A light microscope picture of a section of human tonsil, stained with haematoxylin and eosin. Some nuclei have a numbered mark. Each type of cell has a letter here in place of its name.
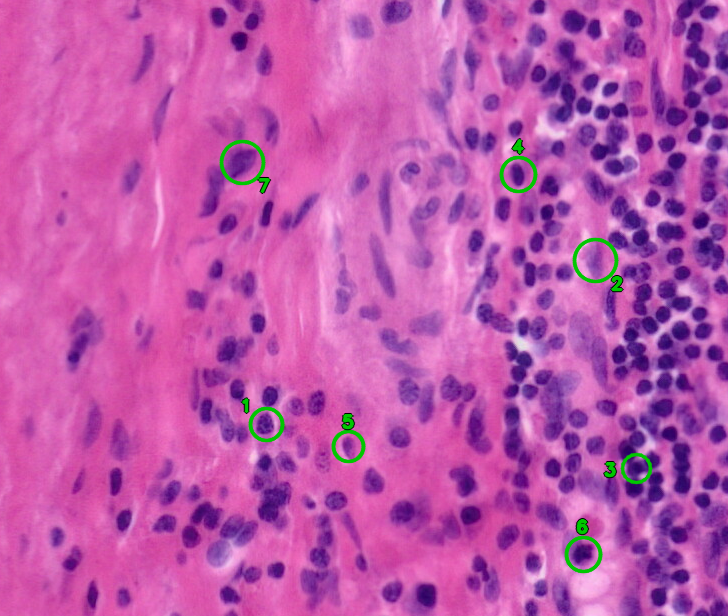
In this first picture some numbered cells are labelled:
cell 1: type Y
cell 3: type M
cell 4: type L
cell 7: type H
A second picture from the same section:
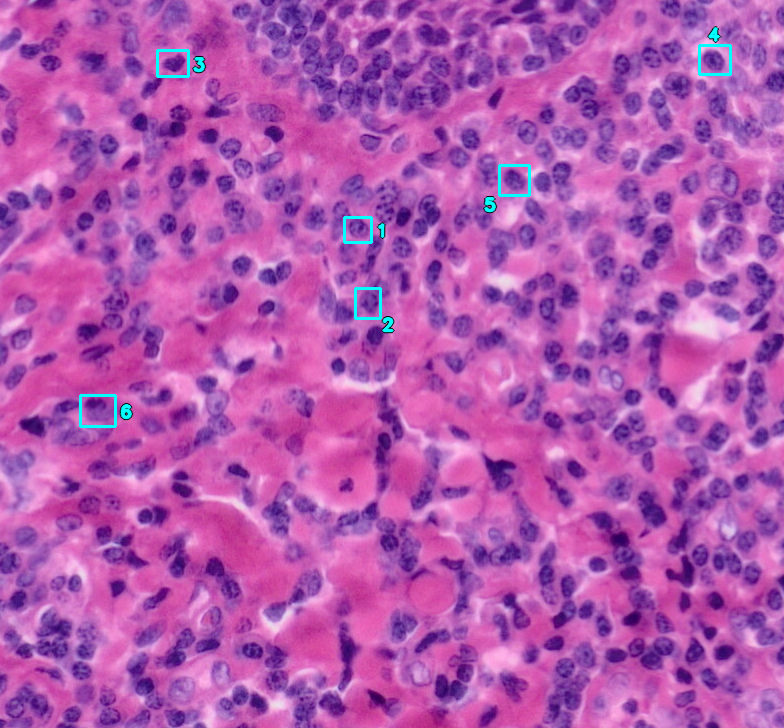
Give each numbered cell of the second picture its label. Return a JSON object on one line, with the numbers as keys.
{"1": "type Y", "2": "type Y", "3": "type L", "4": "type Y", "5": "type Y", "6": "type H"}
